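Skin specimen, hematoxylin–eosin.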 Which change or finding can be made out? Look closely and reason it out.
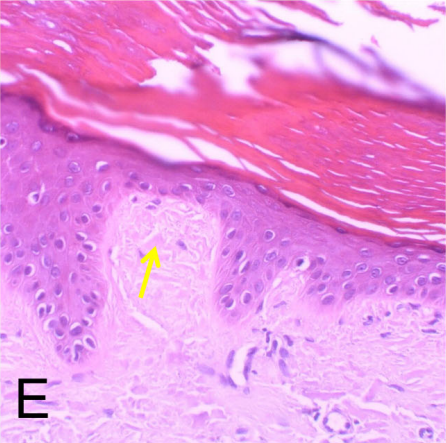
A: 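A thick, compact, intensely red cornified layer overlies the epidermis.
Answer: hyperkeratosis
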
